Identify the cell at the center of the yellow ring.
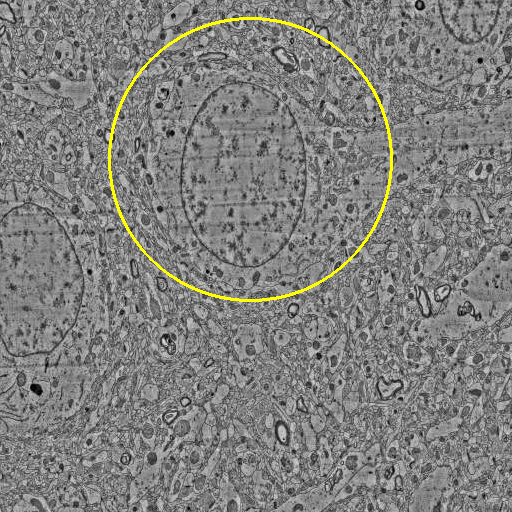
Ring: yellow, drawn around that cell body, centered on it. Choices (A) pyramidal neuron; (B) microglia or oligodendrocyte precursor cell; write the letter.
A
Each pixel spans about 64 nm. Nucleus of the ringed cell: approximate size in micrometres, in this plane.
In this plane the nucleus is about 12 micrometres by 8.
